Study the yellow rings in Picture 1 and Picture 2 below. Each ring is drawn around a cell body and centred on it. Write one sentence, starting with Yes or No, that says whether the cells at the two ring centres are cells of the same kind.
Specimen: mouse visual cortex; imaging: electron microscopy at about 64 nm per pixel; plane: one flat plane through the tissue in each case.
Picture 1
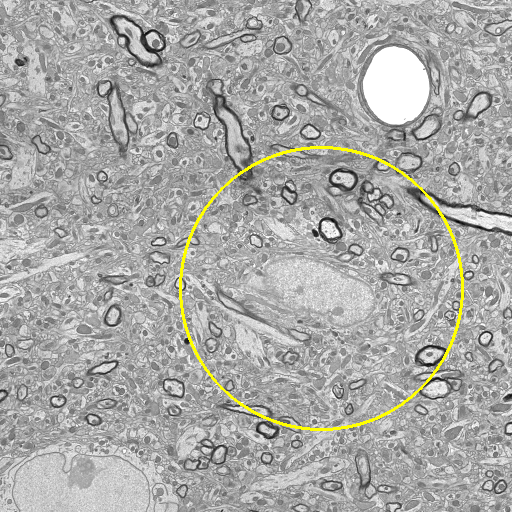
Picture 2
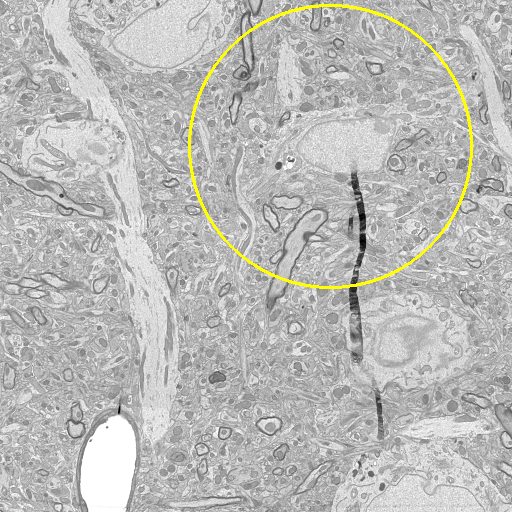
Yes, the cells at both ring centres are of the same kind.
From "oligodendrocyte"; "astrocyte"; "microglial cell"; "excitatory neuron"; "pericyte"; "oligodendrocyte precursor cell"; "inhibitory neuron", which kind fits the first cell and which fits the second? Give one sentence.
In both pictures the ring is centred on an astrocyte.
